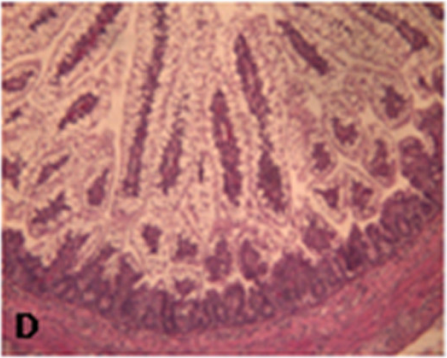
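Here we look at a cross section of small intestine with its mucosa well preserved. At the base of the villi a dense, deeply purple band of crypts packs the mucosa closely. Beneath this lies a smooth pink band of muscular wall. The villi are long, evenly spaced and intact, and the layers sit in orderly sequence from lumen to outer wall.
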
